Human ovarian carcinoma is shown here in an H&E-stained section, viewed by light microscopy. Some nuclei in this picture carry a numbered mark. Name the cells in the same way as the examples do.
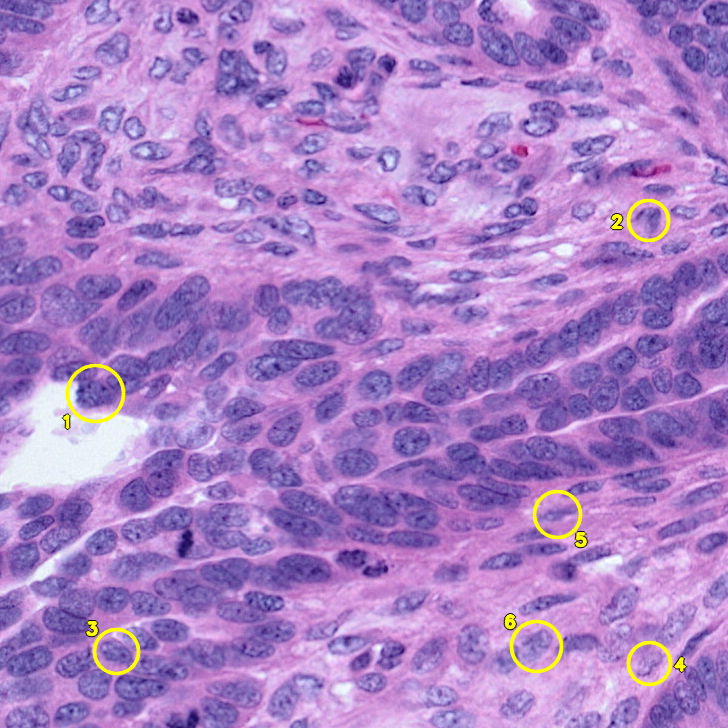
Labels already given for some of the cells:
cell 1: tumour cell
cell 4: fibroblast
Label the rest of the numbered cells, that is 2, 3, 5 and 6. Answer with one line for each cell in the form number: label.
2: fibroblast
3: tumour cell
5: fibroblast
6: fibroblast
